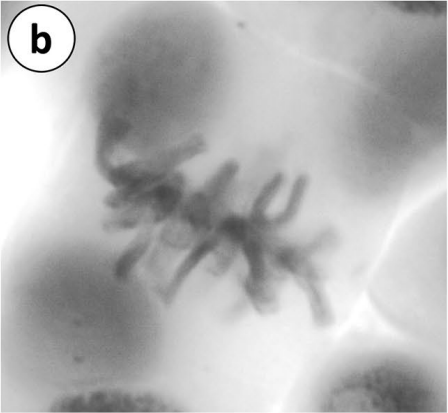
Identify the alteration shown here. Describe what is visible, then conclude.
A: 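The chromosomes of a dividing cell are clumped together in a tangled mass. Individual chromosomes adhere to one another rather than lying separately. So: sticky chromosome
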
